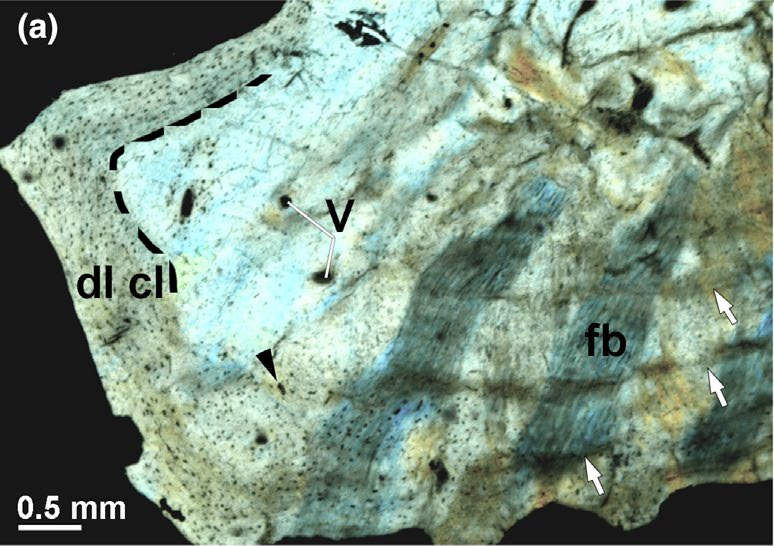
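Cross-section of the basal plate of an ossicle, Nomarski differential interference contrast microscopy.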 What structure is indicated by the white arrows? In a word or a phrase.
Cyclical Growth Marks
